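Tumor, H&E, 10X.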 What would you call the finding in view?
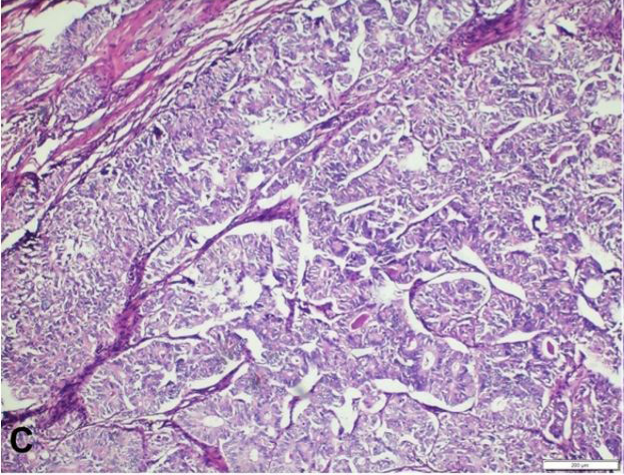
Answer: Glands, which are getting fused at places.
